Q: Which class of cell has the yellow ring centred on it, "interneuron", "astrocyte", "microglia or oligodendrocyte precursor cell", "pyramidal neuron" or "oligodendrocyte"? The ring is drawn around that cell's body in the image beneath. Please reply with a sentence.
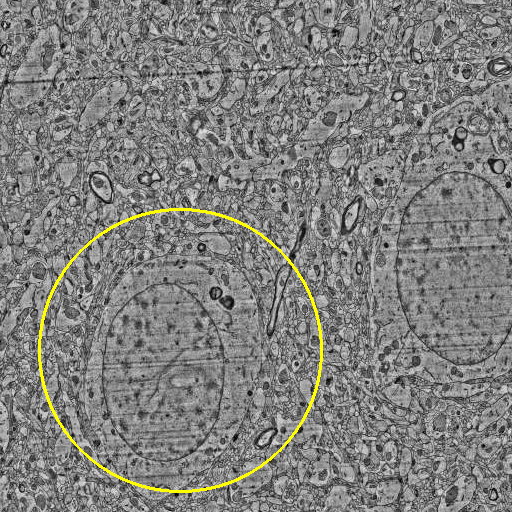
It is centred on a pyramidal neuron.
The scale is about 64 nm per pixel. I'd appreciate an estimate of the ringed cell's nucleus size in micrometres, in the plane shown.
About 12 micrometres by about 8 micrometres in this plane.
